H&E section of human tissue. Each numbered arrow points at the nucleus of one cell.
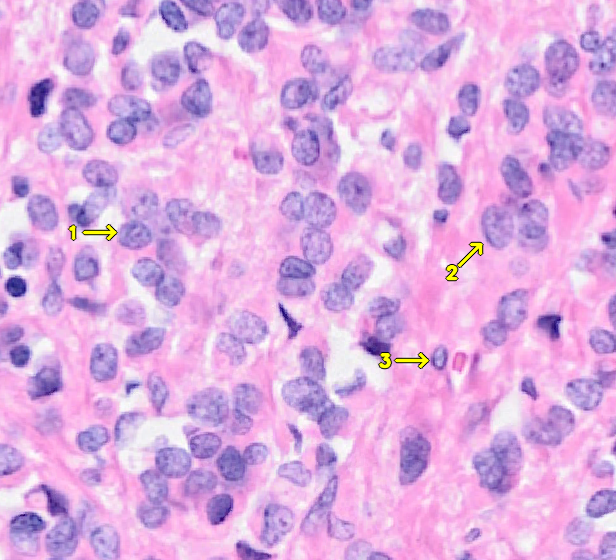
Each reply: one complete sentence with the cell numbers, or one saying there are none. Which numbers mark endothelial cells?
The numbered cell that is an endothelial cell is cell 3, and it is the only one.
